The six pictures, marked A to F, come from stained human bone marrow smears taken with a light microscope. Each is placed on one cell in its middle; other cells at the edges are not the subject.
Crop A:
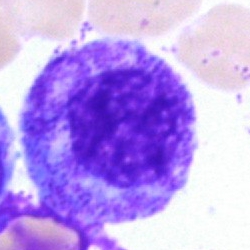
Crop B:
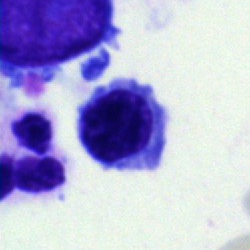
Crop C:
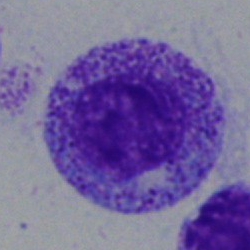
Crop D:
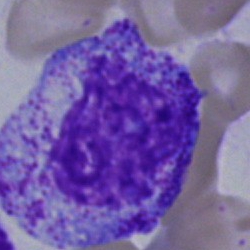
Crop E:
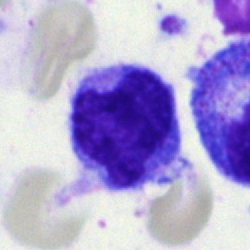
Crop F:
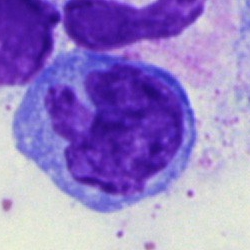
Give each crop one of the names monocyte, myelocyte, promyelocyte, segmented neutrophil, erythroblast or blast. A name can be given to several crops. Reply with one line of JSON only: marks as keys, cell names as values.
{"A": "myelocyte", "B": "erythroblast", "C": "myelocyte", "D": "myelocyte", "E": "monocyte", "F": "monocyte"}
